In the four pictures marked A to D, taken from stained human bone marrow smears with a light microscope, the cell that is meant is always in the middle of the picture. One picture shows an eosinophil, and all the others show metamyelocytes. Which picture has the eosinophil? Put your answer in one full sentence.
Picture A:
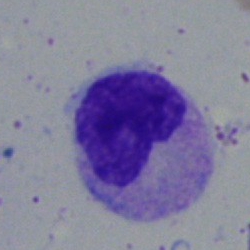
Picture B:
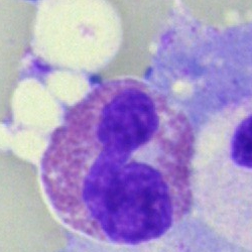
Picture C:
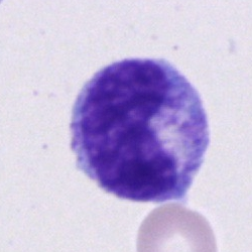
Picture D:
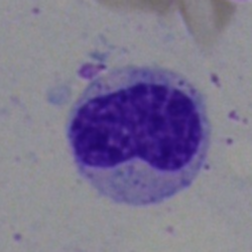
Picture B is the one that shows the eosinophil.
